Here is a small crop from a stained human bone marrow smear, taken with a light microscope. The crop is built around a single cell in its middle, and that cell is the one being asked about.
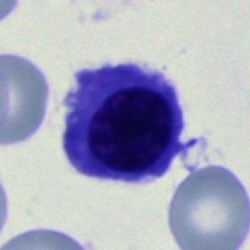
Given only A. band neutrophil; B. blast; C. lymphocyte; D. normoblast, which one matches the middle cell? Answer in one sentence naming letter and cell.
Option D is the right choice, the central cell being a normoblast.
